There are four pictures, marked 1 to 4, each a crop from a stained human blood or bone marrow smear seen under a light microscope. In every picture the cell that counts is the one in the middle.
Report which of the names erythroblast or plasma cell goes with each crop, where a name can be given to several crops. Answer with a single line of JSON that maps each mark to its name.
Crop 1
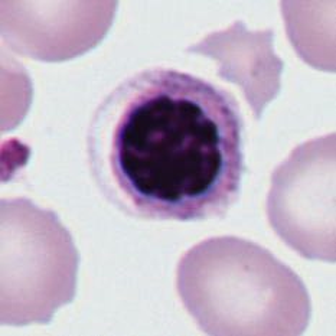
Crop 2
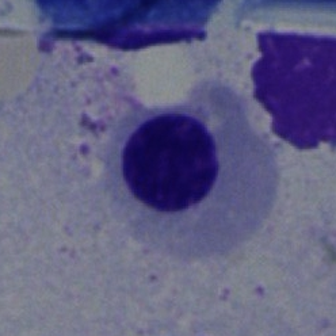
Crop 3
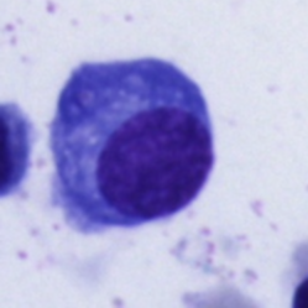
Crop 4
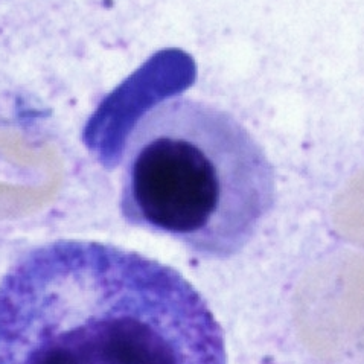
{"1": "erythroblast", "2": "erythroblast", "3": "plasma cell", "4": "erythroblast"}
